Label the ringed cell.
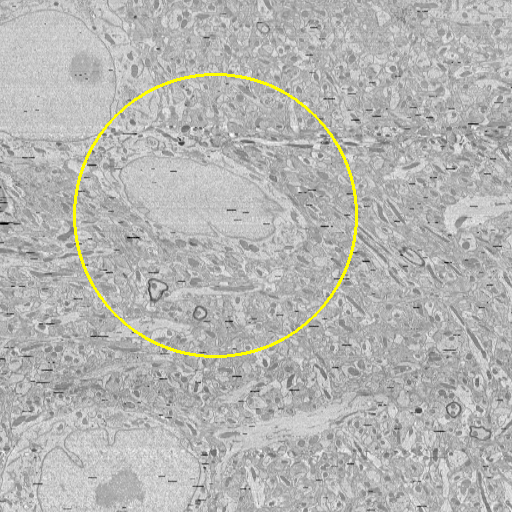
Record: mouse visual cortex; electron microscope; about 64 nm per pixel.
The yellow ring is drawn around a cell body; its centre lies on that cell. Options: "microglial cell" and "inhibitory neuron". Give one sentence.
The ringed cell is an inhibitory neuron.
